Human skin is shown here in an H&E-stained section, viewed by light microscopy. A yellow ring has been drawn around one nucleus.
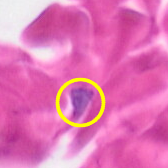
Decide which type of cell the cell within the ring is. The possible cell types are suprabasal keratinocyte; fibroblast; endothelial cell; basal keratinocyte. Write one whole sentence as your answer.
Histopathologically, the cell within the ring is a fibroblast.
